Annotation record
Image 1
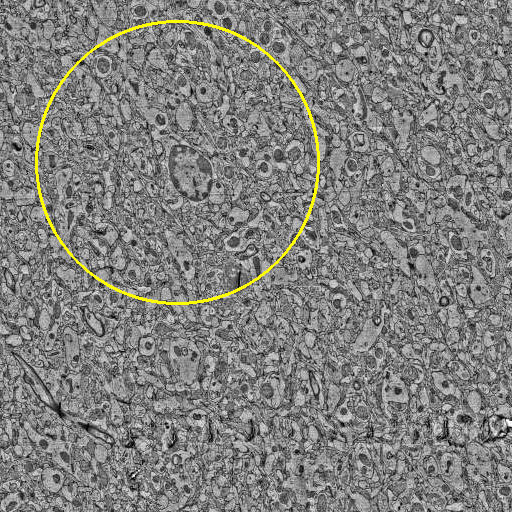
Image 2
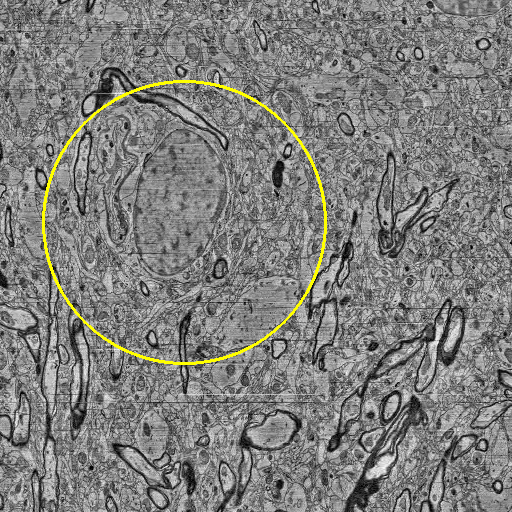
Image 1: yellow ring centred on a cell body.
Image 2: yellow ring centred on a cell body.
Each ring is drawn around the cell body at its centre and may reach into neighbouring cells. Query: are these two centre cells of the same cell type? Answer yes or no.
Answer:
yes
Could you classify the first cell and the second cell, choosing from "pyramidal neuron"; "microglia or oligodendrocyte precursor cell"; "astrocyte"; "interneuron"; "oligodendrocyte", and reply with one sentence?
The cell in the first picture is a microglial cell or oligodendrocyte precursor cell, and so is the one in the second.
